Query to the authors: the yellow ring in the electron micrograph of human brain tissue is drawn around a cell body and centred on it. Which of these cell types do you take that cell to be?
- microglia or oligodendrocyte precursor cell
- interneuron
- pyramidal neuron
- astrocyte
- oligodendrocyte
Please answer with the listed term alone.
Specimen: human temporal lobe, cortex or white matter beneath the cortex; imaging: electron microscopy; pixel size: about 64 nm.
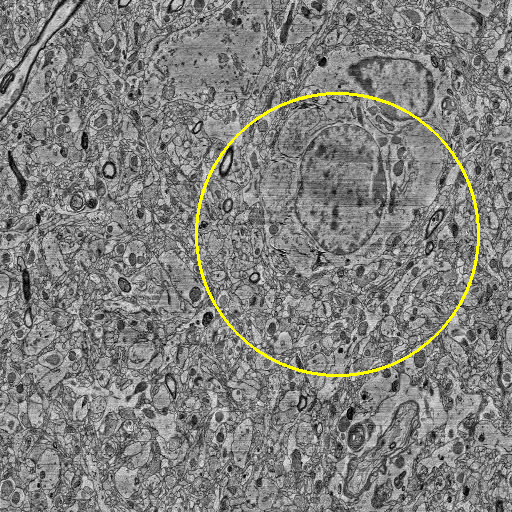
astrocyte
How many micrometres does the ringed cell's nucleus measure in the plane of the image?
The nucleus of the ringed cell is approximately 8 by 6 micrometres in this plane.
